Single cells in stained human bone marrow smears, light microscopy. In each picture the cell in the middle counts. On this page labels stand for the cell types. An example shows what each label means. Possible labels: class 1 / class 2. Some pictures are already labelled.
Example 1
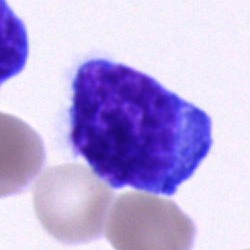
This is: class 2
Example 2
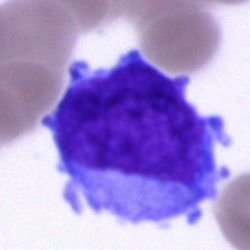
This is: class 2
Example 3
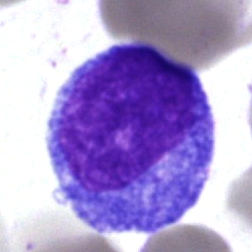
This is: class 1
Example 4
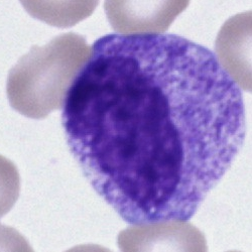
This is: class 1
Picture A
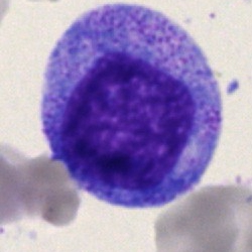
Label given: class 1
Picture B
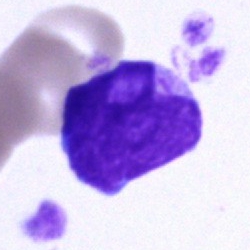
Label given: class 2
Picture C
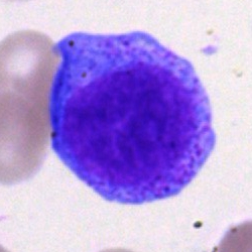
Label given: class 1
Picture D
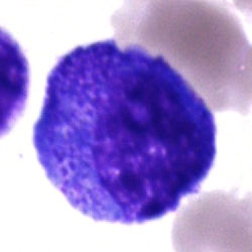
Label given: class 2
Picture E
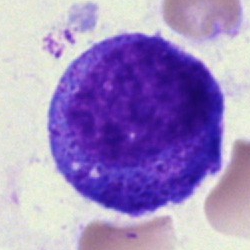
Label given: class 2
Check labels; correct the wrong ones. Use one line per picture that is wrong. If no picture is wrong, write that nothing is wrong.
D should be class 1, not class 2
E should be class 1, not class 2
